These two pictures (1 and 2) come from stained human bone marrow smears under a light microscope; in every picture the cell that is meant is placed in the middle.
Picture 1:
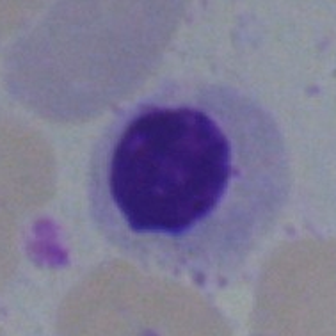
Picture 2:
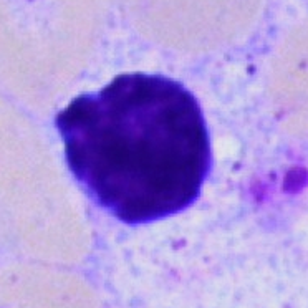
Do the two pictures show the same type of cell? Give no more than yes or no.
no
